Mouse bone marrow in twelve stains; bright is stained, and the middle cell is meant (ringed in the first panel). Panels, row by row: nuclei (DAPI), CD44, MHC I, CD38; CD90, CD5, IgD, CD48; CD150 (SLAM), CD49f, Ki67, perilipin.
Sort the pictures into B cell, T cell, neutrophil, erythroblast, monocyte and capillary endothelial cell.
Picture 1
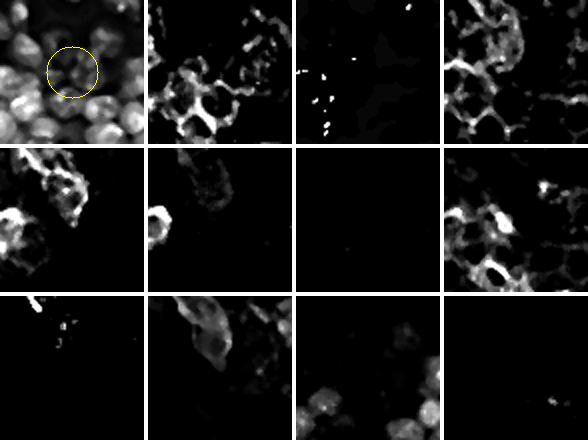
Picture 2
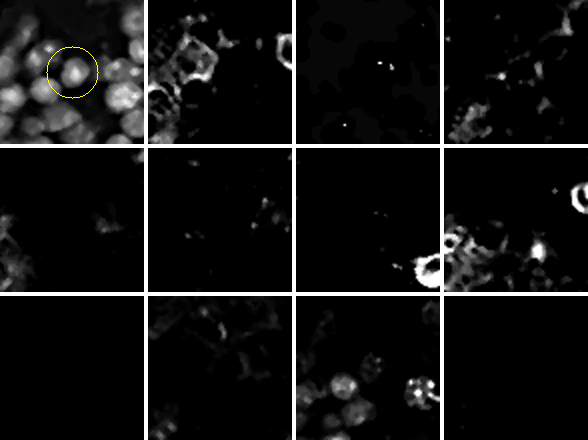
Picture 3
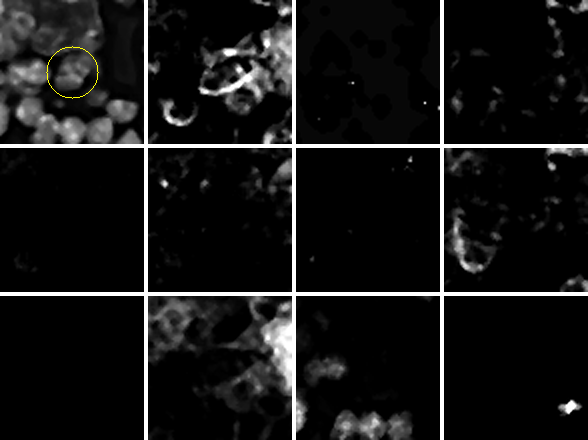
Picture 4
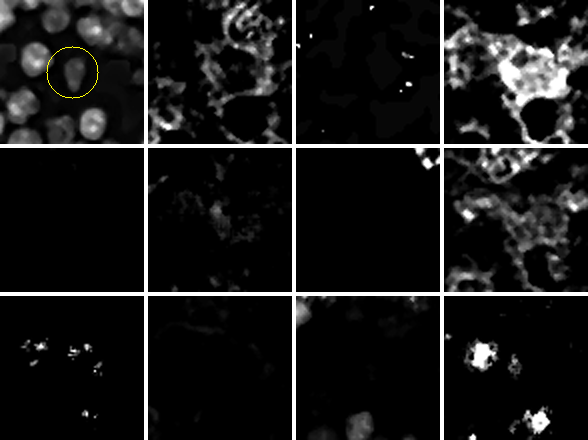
Capillary endothelial cells: 1
Erythroblasts: 2
Neutrophils: 3
Monocytes: 4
